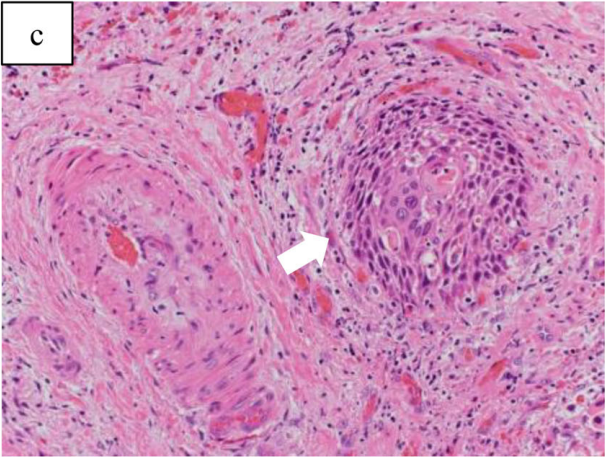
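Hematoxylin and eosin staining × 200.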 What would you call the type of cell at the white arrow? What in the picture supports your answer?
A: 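Squamous cell carcinoma. A rounded nest of atypical polygonal cells with pink cytoplasm. Small keratinizing foci within the nest. Nest surrounded by fibrous stroma next to a thick-walled vessel.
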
